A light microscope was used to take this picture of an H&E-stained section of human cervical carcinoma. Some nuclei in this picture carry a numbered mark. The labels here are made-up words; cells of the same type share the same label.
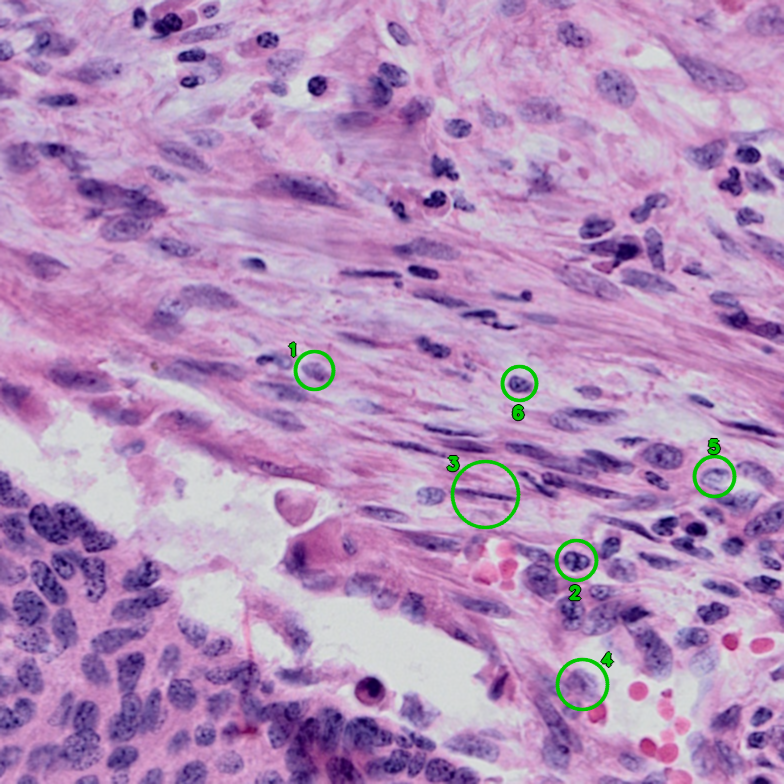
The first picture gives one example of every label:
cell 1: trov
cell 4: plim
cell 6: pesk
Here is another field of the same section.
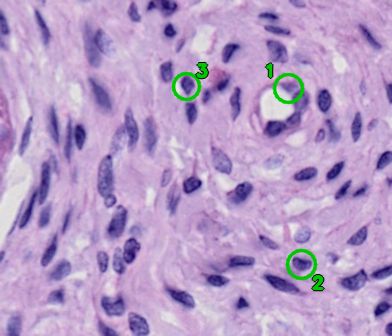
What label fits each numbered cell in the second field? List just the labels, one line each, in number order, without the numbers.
plim
trov
trov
